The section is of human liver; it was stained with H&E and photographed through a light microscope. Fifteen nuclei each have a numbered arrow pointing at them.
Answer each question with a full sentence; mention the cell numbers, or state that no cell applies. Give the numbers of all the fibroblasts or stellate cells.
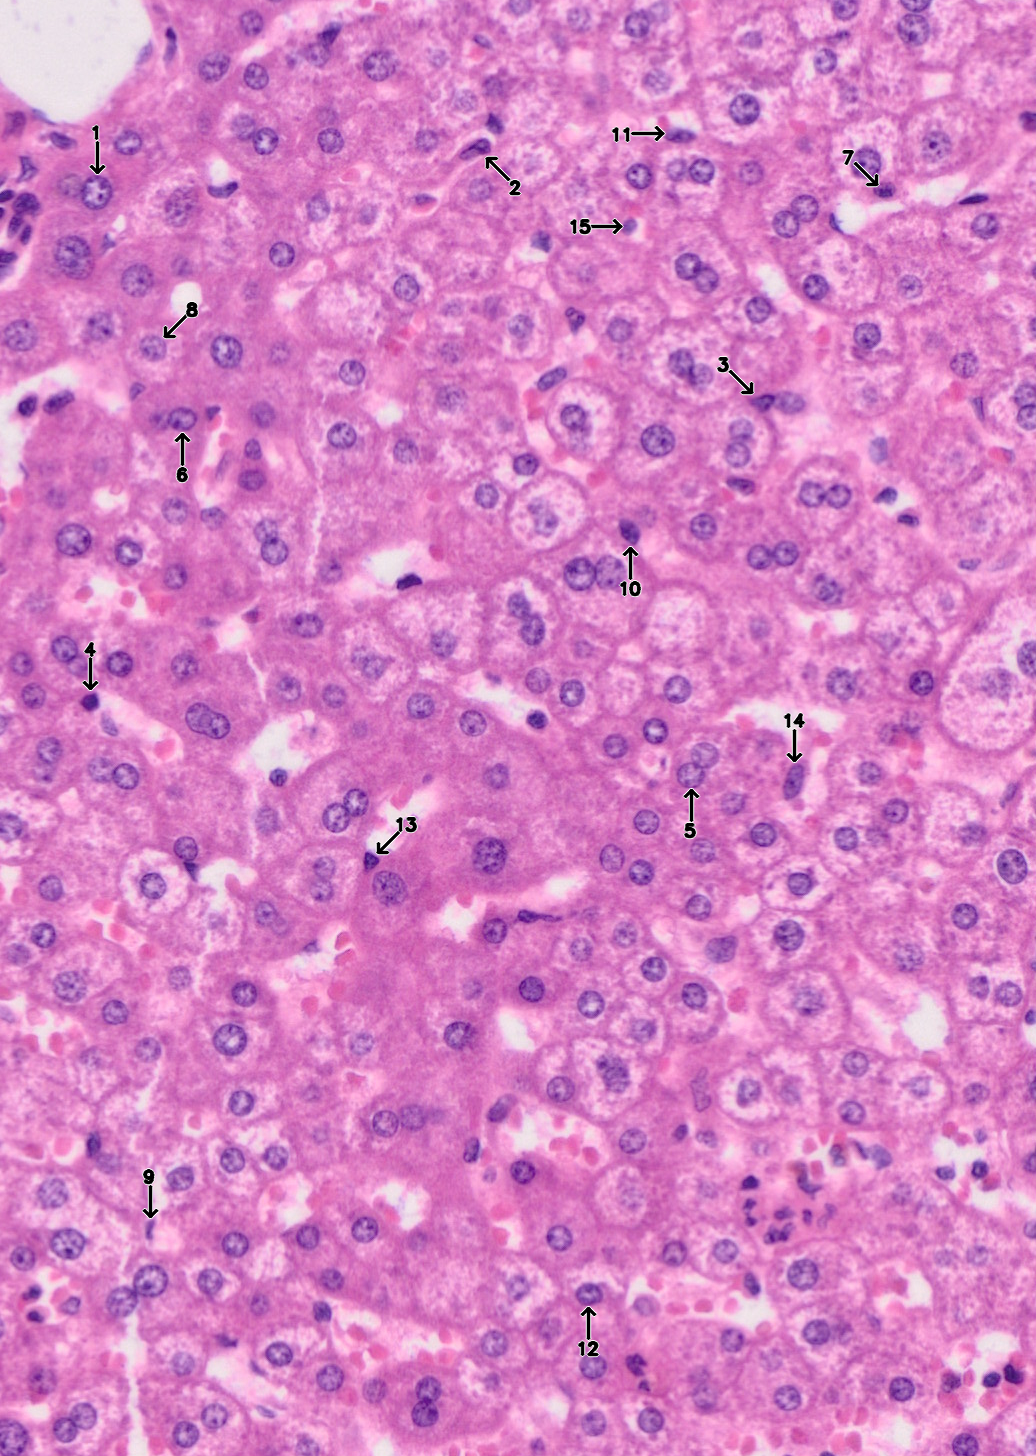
Cells 3, 10 and 13 in the section are typed as fibroblasts or stellate cells.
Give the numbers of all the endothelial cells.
The numbers 9 and 11 refer to cells that are endothelial cells.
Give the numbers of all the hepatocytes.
Identified as hepatocytes are the cells numbered 1, 5, 6, 8 and 12.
